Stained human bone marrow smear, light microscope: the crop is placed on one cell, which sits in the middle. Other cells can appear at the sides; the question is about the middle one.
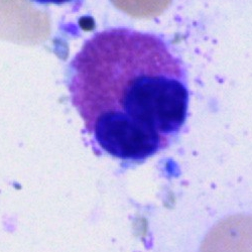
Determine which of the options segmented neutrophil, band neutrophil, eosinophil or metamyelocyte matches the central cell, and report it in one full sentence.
The cell around which this crop is centred is an eosinophil.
